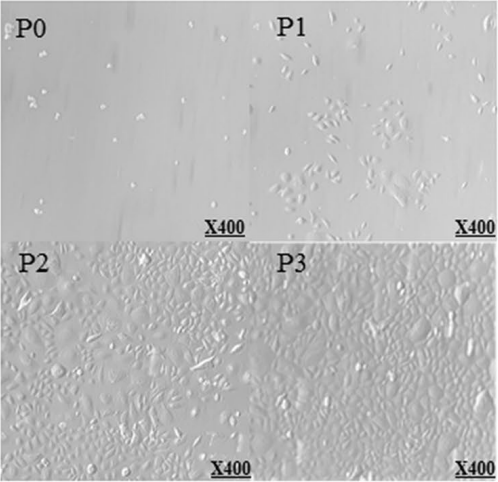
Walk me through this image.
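In the first field only a few small, rounded or slightly spread cells lie scattered over an otherwise empty culture surface. In the second, more cells are present. Many are spindle-shaped or polygonal and gather into loose clusters with wide gaps between them.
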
